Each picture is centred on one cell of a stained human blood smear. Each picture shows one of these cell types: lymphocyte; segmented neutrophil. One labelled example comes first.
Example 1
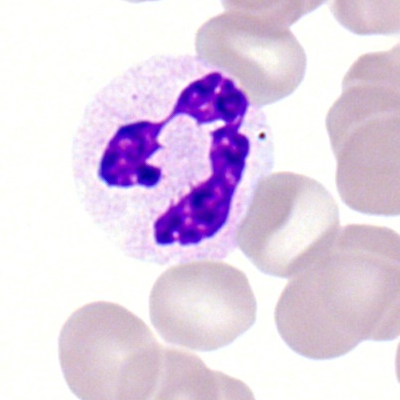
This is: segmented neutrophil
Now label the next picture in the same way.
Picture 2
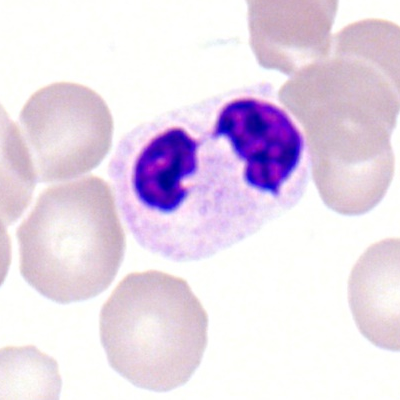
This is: segmented neutrophil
